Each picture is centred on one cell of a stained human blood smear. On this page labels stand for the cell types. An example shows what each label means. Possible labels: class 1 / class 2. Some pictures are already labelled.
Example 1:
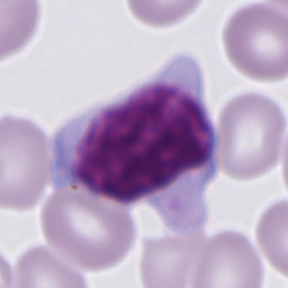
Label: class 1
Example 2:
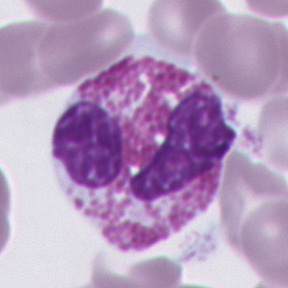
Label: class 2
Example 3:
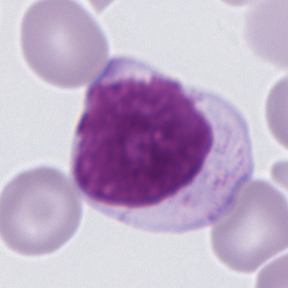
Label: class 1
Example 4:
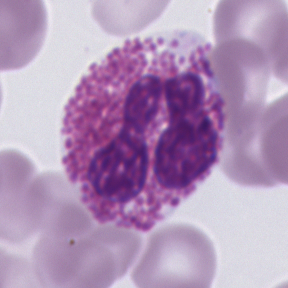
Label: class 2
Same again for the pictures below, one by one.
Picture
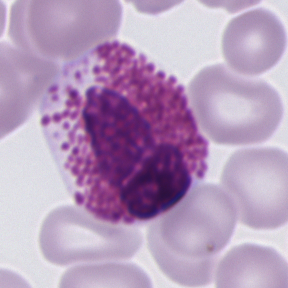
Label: class 2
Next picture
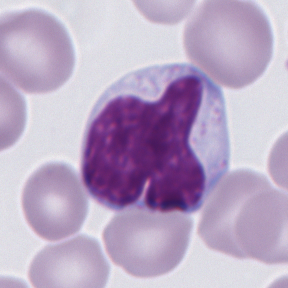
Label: class 1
